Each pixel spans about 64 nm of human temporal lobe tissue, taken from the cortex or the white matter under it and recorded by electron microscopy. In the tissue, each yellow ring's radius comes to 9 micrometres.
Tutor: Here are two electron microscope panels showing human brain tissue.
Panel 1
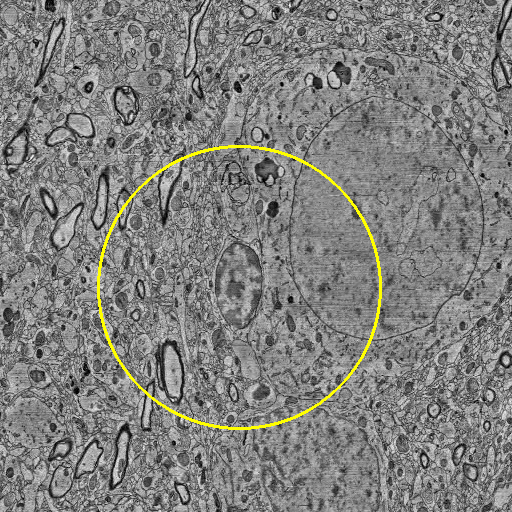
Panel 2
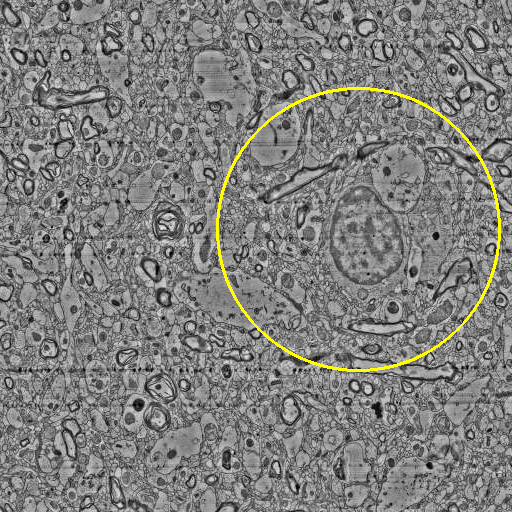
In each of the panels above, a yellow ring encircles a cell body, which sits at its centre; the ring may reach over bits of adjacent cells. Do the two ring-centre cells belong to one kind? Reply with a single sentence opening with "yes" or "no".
No, the two cells sitting at the ring centres in the panels belong to two kinds.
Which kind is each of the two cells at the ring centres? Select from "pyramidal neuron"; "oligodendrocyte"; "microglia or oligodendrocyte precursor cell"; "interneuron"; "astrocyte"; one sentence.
The cell at the centre of the ring is a microglial cell or oligodendrocyte precursor cell in the first picture and an oligodendrocyte in the second.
